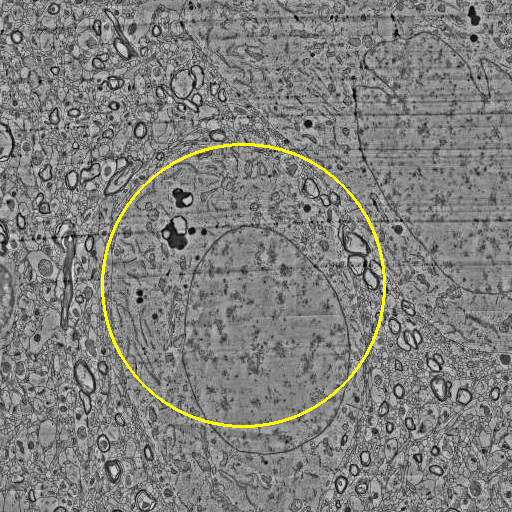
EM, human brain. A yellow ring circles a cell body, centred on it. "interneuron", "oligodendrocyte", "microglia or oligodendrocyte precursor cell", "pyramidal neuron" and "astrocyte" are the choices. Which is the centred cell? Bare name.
pyramidal neuron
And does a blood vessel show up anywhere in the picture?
No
